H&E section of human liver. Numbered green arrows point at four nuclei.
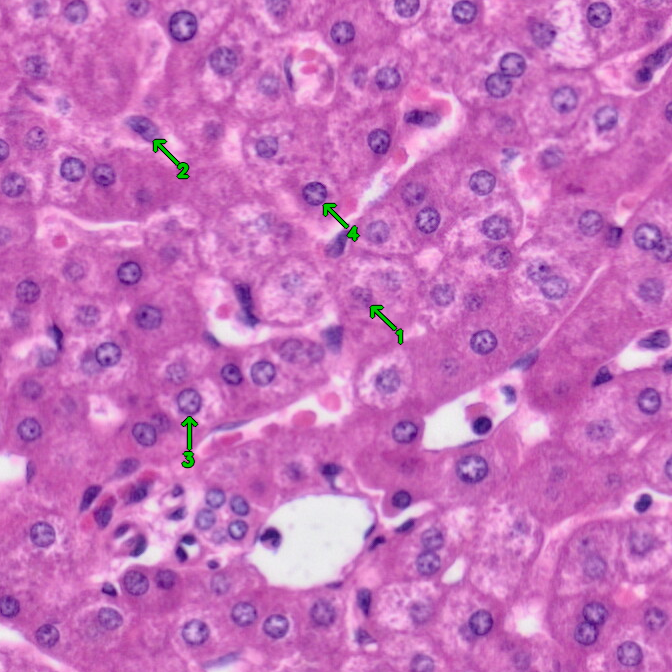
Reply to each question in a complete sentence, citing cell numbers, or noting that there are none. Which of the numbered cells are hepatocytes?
Each of the cells numbered 1, 3 and 4 is among the hepatocytes.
